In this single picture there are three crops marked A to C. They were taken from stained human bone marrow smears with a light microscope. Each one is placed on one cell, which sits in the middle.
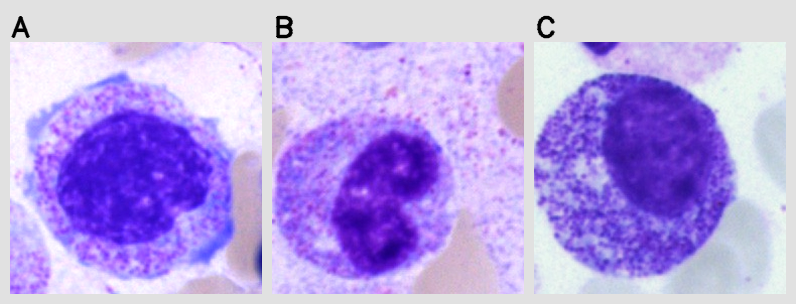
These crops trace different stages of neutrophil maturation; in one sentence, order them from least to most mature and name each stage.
Maturity order, least to most: crop A (a promyelocyte), crop C (a myelocyte) and crop B (a metamyelocyte).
